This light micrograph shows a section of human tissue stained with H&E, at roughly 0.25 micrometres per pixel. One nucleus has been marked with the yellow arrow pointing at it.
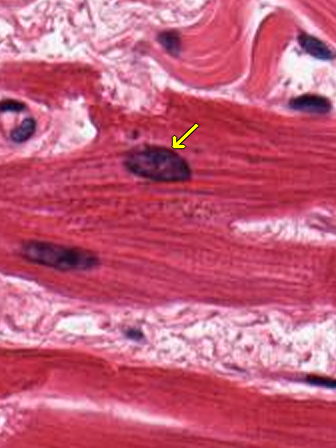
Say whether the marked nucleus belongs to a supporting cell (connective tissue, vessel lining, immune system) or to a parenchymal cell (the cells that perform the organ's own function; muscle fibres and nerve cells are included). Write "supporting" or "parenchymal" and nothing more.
parenchymal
